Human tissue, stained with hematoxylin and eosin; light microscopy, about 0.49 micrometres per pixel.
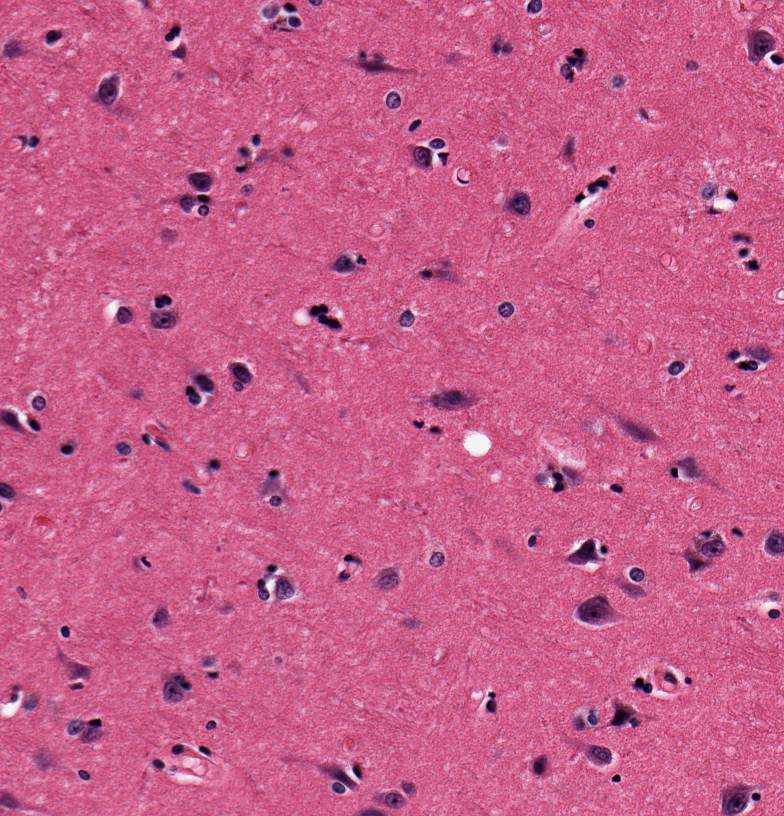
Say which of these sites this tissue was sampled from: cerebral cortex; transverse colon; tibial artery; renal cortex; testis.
cerebral cortex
